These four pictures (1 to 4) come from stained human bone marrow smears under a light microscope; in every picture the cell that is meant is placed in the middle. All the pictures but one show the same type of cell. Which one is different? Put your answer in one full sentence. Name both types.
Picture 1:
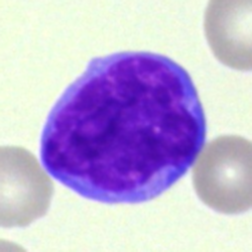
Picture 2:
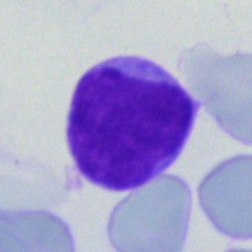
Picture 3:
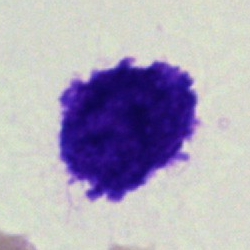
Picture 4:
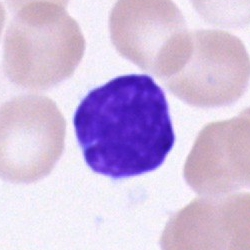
The different one is picture 4; it shows a lymphocyte, whereas all the others show blasts.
